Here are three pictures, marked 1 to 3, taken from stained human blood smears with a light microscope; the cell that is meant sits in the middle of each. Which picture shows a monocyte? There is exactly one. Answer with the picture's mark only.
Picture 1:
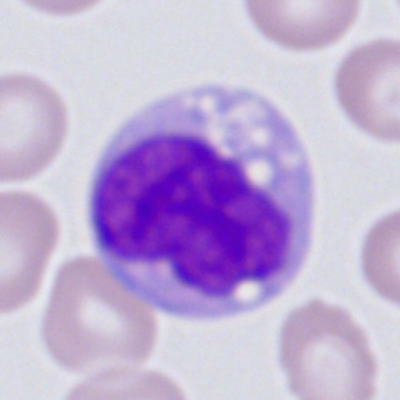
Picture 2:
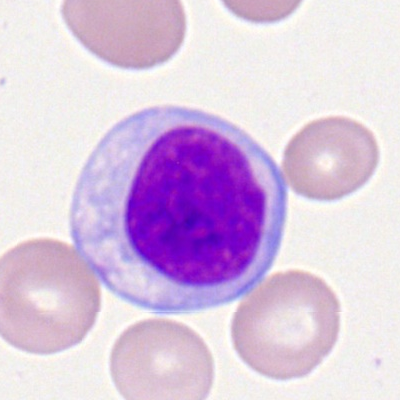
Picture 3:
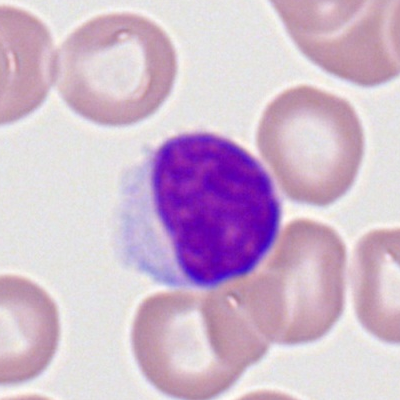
1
